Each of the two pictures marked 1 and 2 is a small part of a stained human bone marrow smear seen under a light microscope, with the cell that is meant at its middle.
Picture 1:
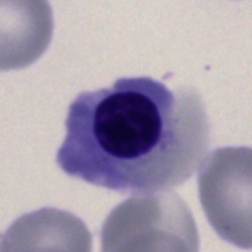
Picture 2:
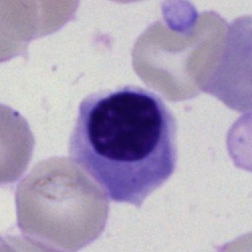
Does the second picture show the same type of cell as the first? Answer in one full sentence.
Yes, they are the same type: both are erythroblasts.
